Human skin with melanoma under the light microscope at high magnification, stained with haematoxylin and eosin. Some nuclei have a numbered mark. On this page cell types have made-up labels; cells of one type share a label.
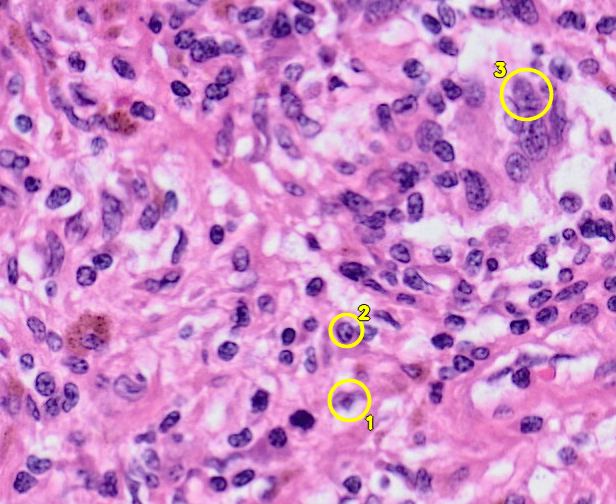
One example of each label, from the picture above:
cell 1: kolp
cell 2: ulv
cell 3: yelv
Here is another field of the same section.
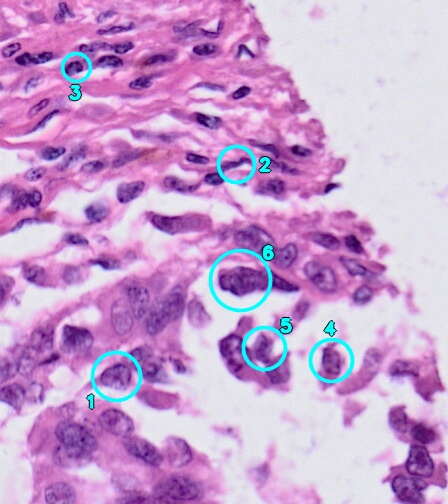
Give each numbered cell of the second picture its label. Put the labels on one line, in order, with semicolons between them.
yelv; kolp; ulv; yelv; yelv; yelv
